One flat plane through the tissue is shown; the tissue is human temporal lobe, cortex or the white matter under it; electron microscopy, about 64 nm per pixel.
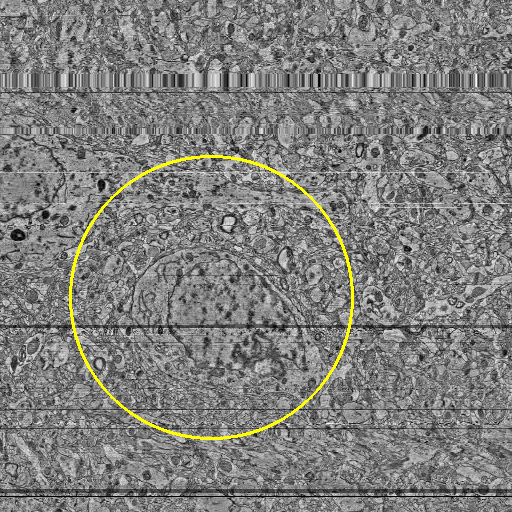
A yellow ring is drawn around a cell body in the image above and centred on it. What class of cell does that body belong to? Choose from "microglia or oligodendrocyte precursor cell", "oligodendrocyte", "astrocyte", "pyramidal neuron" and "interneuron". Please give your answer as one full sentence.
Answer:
The yellow ring above is centred on the cell body of an interneuron.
